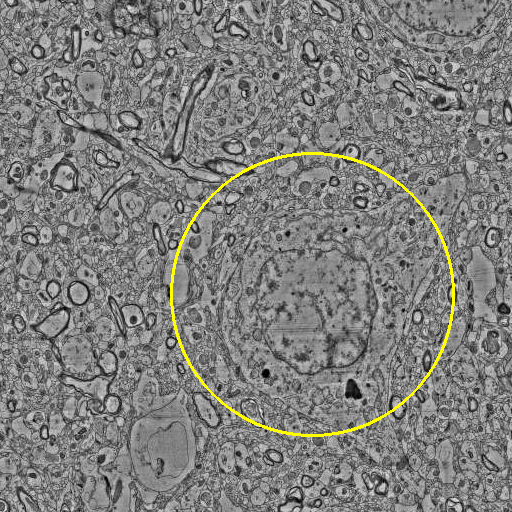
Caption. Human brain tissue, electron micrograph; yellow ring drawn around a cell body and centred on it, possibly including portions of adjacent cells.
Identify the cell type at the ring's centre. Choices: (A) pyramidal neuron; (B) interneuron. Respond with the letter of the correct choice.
A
